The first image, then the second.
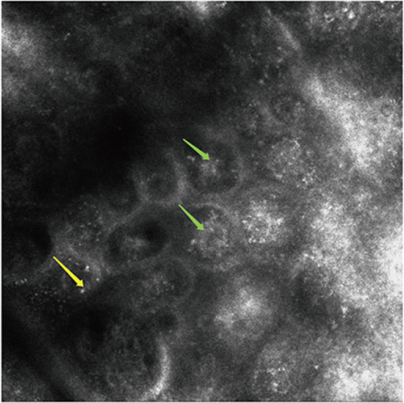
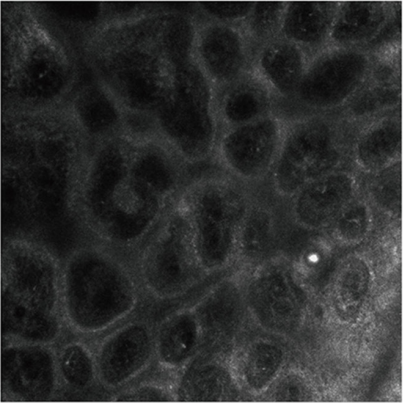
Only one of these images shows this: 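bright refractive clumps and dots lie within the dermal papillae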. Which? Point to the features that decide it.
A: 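First image: bright granular and clumpy material fills and surrounds several papillary rings. Second image: the papillary rings enclose dark, mostly empty centres without bright clumps. The answer: the first image.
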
